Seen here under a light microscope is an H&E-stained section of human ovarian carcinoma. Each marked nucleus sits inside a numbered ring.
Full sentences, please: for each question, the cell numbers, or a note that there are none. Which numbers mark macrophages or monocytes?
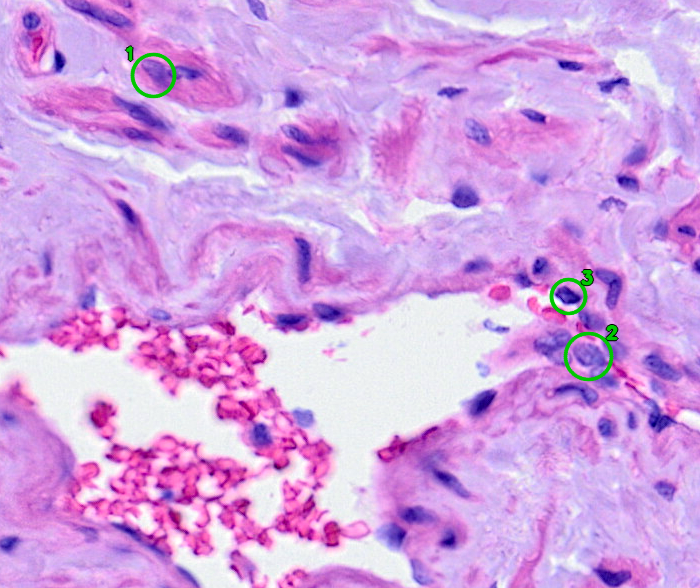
No macrophages or monocytes are present among the numbered cells.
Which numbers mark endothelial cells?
Cells 2 and 3 share one type; they are endothelial cells.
